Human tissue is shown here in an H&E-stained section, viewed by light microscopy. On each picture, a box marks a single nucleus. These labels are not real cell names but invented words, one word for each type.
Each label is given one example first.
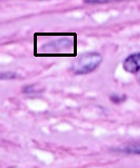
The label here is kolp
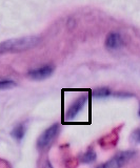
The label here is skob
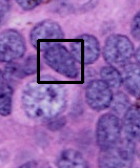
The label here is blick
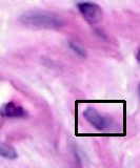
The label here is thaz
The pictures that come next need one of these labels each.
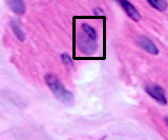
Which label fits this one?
thaz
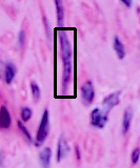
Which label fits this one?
thaz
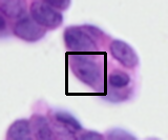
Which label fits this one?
blick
